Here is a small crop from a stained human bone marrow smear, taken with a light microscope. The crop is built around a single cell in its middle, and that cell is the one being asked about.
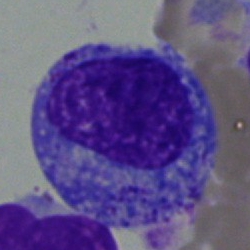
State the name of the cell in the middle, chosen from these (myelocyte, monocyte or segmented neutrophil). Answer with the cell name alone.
myelocyte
